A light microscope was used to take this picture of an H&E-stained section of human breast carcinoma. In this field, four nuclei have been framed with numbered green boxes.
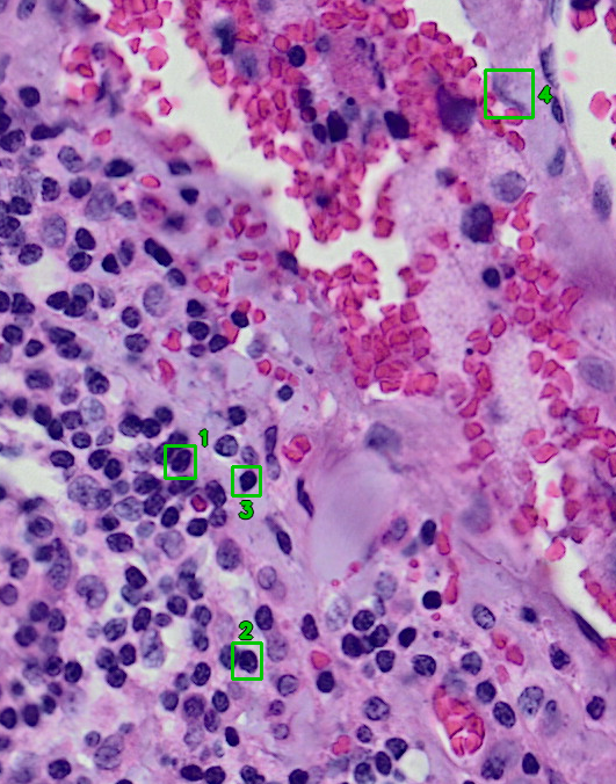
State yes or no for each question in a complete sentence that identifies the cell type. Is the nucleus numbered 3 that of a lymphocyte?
Yes, the cell tagged with number 3 is a lymphocyte.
